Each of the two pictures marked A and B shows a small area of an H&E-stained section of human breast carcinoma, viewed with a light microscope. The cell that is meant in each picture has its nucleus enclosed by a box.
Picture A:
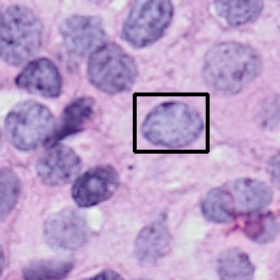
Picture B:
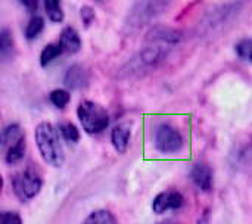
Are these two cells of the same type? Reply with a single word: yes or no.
no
